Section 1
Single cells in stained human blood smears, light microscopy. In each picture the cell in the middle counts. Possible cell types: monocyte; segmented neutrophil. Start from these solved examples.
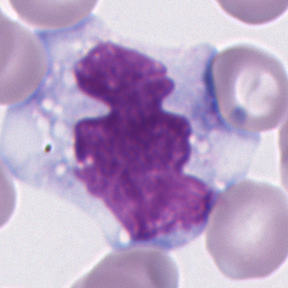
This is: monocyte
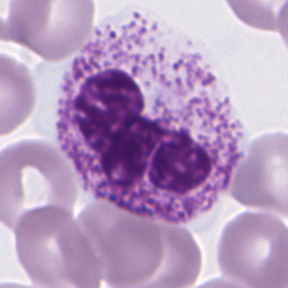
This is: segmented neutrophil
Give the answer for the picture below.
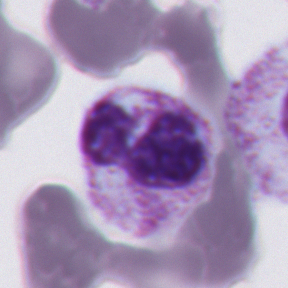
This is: segmented neutrophil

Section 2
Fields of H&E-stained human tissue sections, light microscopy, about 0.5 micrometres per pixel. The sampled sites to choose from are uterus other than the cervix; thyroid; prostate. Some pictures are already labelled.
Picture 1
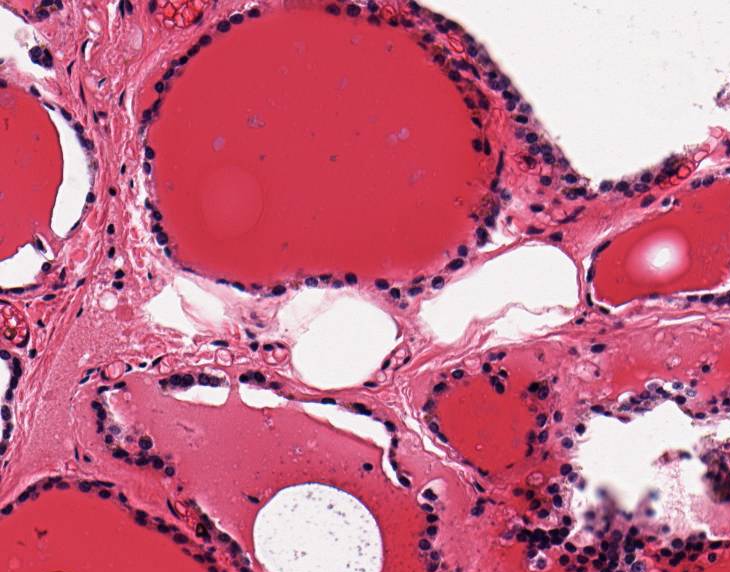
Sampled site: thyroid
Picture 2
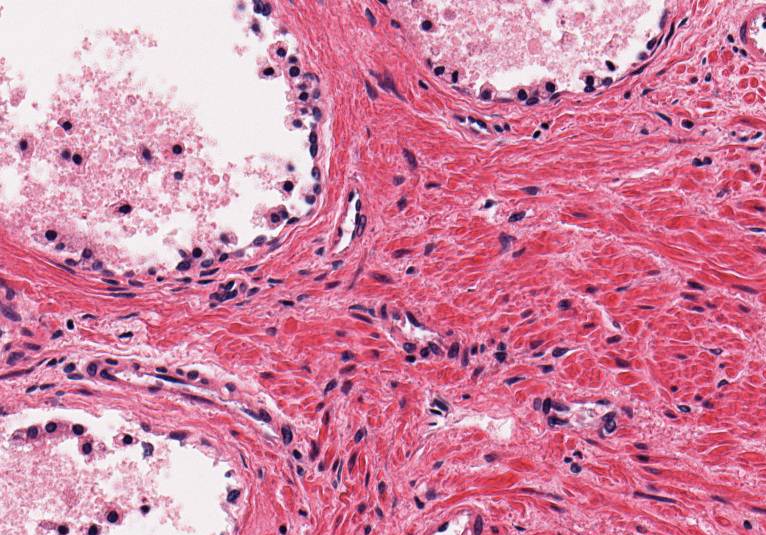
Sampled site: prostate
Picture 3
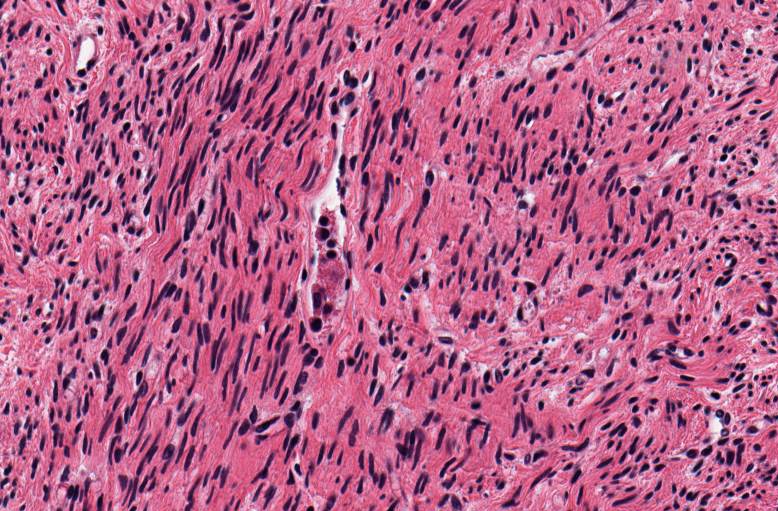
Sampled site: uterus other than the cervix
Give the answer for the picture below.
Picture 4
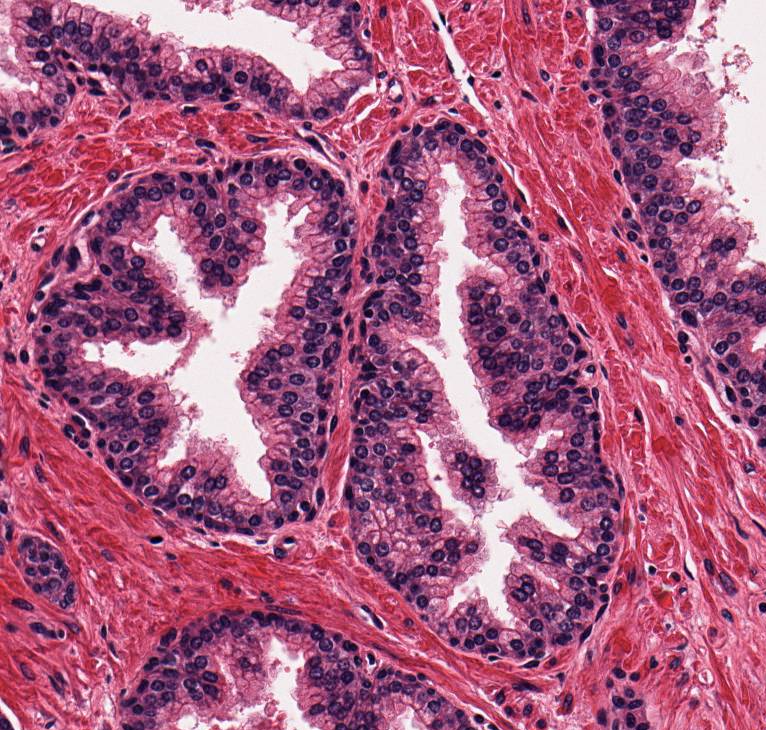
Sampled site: prostate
